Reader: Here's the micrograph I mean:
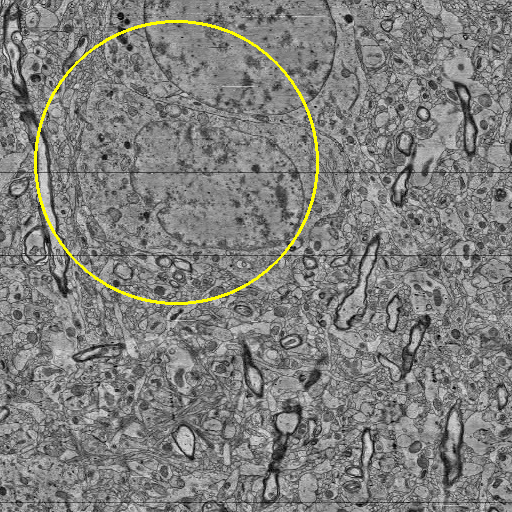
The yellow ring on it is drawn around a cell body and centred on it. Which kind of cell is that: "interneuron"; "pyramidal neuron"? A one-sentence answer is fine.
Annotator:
The ring is centred on an interneuron.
